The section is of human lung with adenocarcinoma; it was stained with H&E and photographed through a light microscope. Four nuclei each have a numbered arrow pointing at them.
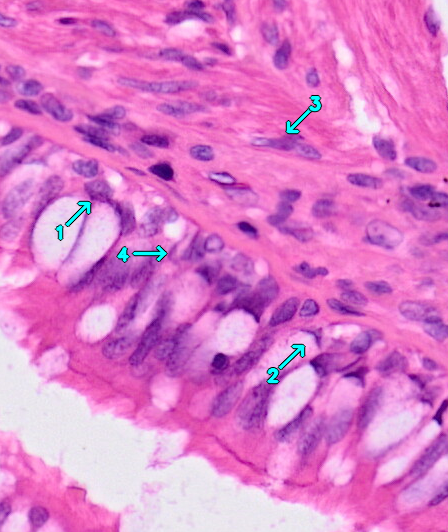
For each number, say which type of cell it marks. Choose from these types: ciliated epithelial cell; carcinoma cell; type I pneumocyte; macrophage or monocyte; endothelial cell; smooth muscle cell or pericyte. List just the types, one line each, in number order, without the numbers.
ciliated epithelial cell
ciliated epithelial cell
smooth muscle cell or pericyte
ciliated epithelial cell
